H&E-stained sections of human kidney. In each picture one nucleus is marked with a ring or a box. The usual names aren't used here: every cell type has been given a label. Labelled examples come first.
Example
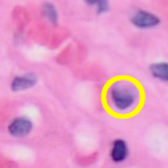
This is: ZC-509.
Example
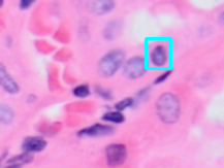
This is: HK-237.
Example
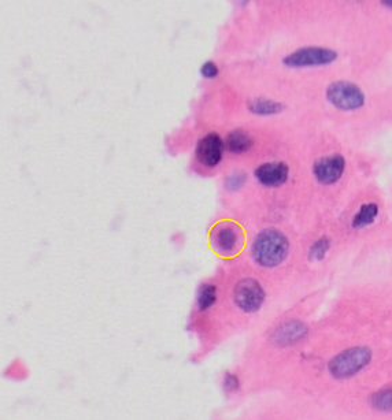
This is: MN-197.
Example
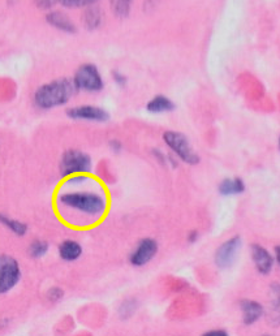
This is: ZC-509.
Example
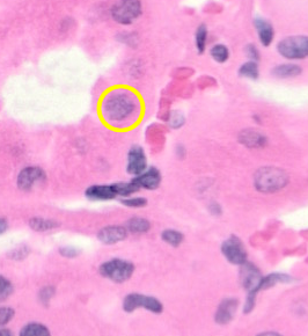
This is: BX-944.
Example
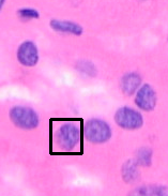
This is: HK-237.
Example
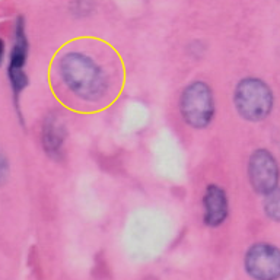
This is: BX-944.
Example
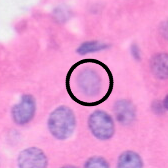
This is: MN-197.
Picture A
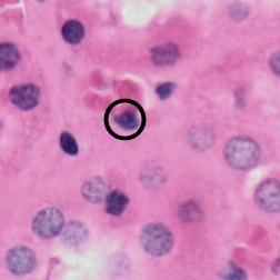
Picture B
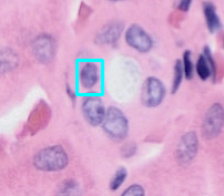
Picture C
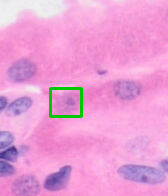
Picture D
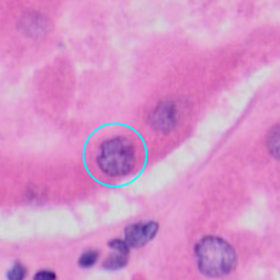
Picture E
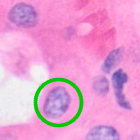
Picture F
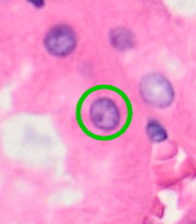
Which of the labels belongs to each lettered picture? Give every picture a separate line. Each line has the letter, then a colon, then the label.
A: ZC-509.
B: HK-237.
C: BX-944.
D: BX-944.
E: MN-197.
F: BX-944.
